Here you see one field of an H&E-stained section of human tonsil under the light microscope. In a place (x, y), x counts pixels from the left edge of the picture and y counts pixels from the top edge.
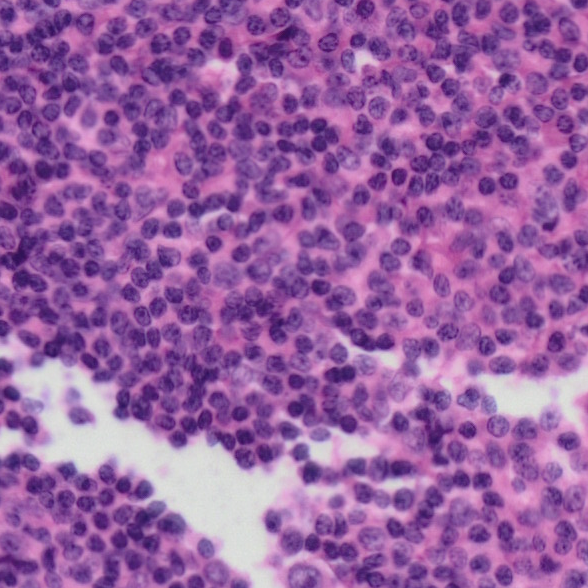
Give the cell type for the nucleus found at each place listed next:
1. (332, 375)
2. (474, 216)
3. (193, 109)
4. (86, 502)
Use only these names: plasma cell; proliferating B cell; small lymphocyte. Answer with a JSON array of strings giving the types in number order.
["small lymphocyte", "plasma cell", "small lymphocyte", "small lymphocyte"]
